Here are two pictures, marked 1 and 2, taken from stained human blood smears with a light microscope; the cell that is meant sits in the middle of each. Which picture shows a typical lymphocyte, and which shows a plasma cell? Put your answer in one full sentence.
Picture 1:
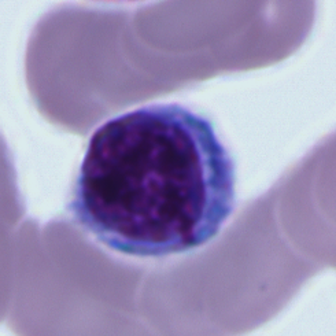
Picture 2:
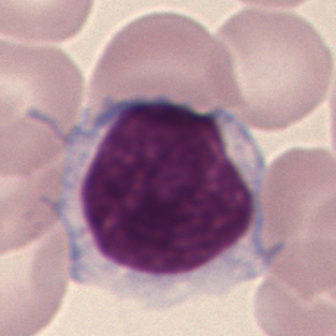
The cell in picture 1 is a plasma cell, and the one in picture 2 is a typical lymphocyte.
